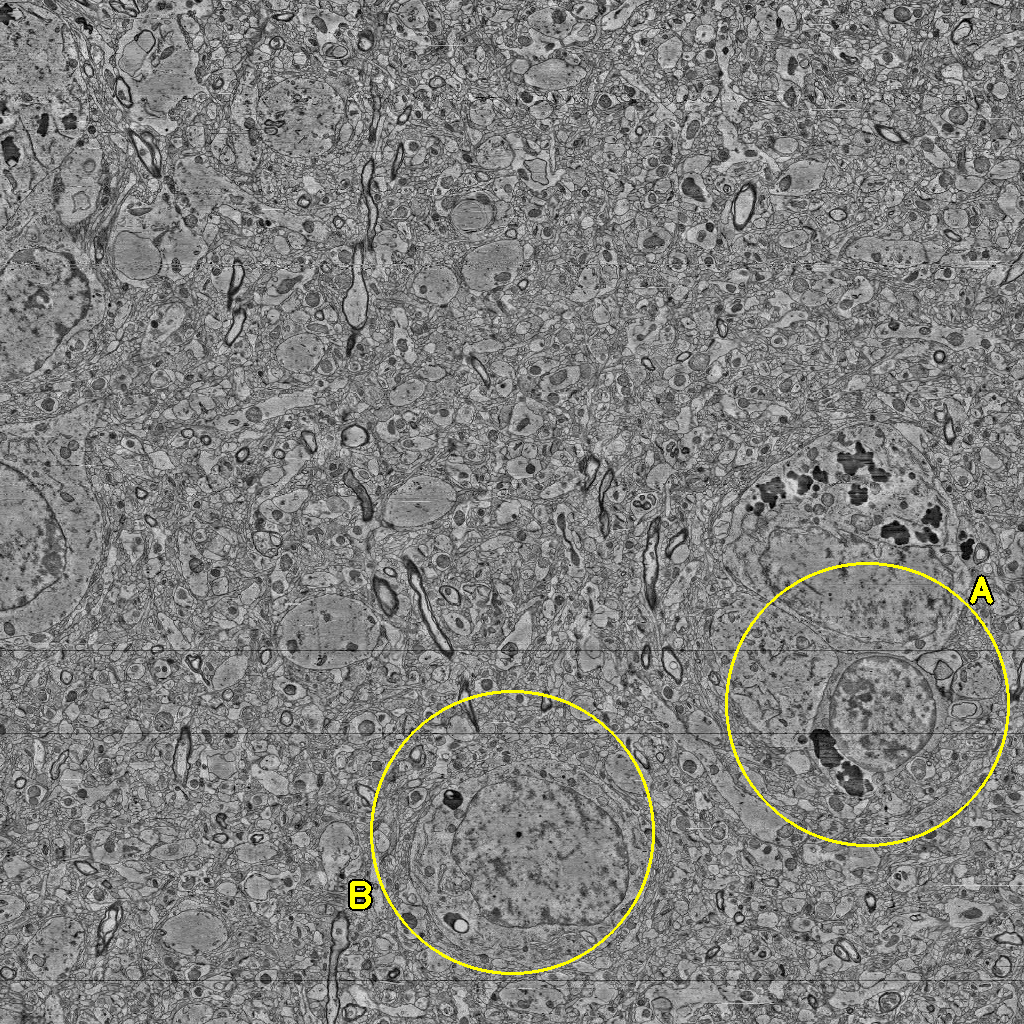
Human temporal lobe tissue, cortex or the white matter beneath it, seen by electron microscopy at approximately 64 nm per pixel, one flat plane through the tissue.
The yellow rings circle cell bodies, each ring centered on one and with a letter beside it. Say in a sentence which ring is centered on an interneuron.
Ring B is centered on it.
